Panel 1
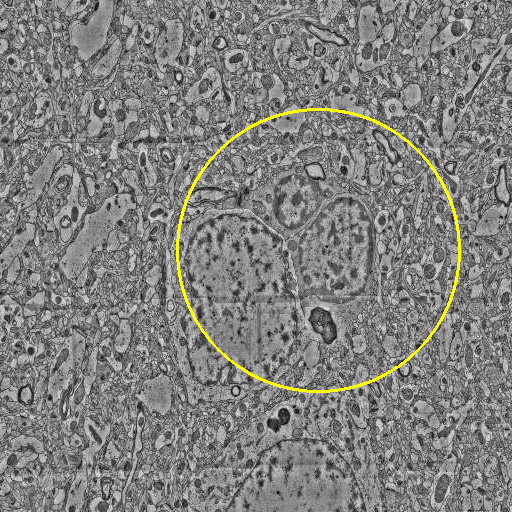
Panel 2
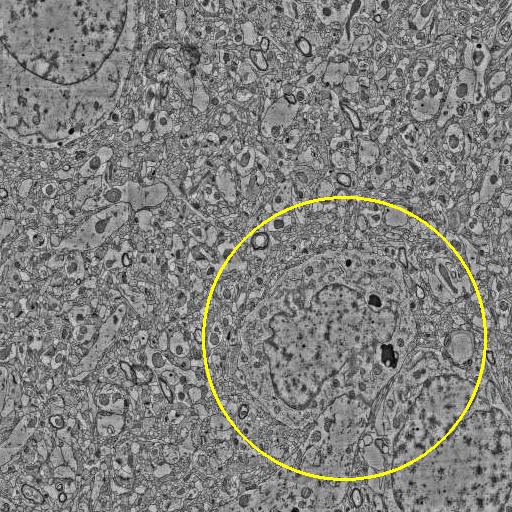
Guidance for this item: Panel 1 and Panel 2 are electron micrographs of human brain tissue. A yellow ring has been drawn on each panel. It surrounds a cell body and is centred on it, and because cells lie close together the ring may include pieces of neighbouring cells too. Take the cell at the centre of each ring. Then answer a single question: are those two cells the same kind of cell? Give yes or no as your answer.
no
